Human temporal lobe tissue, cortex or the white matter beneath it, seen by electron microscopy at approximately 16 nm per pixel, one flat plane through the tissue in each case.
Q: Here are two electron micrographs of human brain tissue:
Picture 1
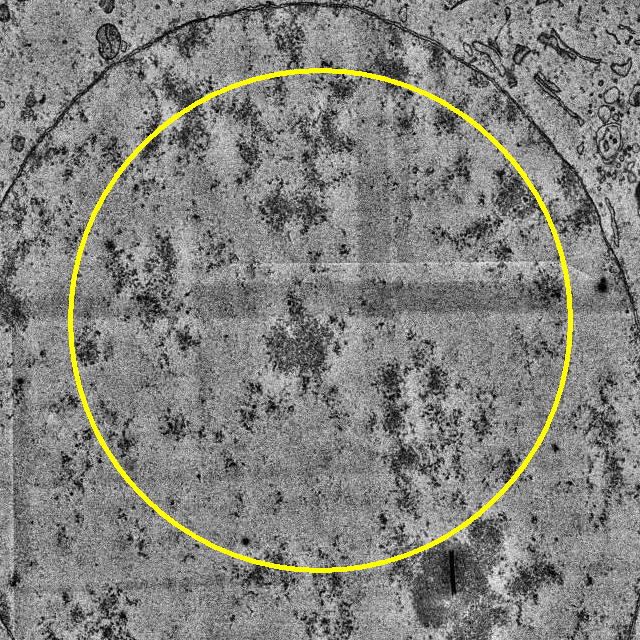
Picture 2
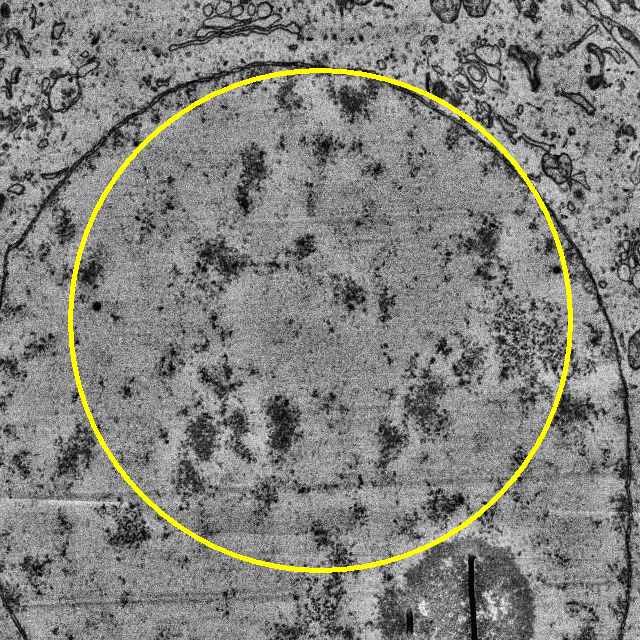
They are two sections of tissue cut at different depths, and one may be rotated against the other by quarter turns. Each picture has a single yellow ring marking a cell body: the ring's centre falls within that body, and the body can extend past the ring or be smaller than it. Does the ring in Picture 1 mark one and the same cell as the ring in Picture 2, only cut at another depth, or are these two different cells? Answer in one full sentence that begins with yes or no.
Yes, the same individual cell is enclosed by both rings.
